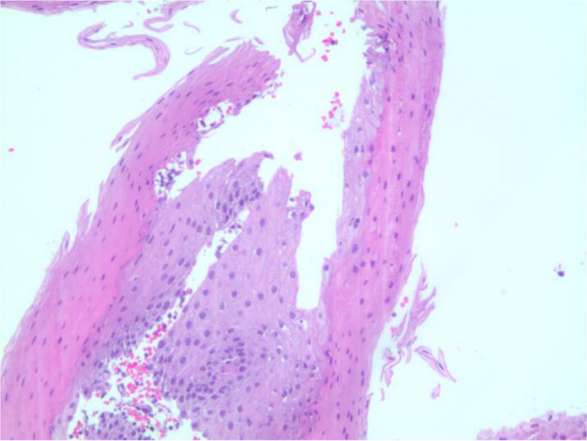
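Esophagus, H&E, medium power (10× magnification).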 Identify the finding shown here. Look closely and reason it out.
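“two-toned” appearance. Strips of intensely pink squamous epithelium flank a paler, more purple cellular layer. The two layers differ clearly in color and are partly split apart.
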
